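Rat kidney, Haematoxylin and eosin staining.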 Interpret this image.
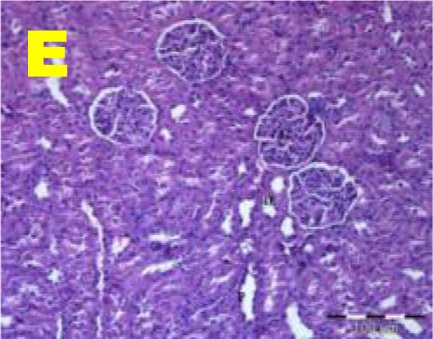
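Four round capillary tufts, each ringed by a thin capsule and a narrow clear space, lie in a field of densely packed tubules lined by pink cuboidal epithelium with dark round nuclei and small lumens. This is renal cortex with glomeruli within Bowman’s capsules among the surrounding tubules.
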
